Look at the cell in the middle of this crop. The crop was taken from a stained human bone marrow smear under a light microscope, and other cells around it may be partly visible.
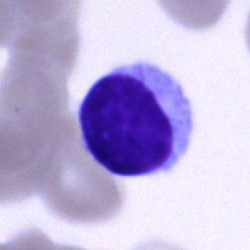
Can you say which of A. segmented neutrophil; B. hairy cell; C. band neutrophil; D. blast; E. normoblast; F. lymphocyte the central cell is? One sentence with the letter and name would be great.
Option F is correct; the cell in the middle is a lymphocyte.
